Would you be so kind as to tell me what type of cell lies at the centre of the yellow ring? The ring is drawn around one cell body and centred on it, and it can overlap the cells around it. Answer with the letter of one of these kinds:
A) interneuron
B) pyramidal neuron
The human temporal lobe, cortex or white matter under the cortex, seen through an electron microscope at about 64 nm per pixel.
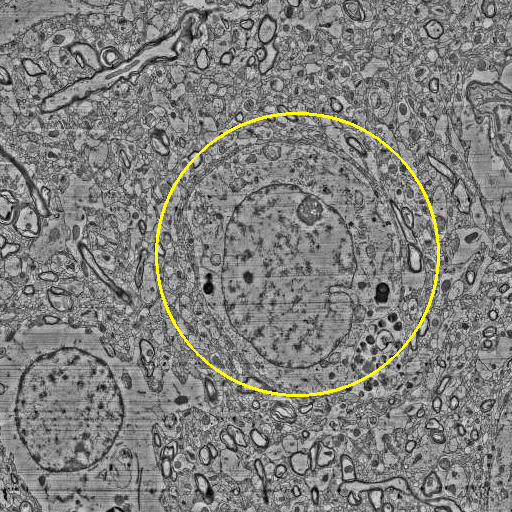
B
